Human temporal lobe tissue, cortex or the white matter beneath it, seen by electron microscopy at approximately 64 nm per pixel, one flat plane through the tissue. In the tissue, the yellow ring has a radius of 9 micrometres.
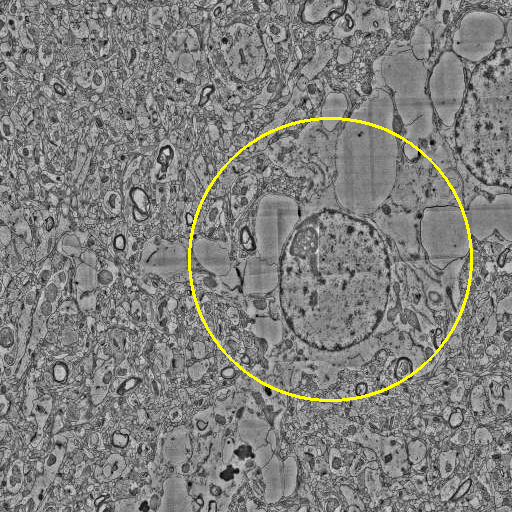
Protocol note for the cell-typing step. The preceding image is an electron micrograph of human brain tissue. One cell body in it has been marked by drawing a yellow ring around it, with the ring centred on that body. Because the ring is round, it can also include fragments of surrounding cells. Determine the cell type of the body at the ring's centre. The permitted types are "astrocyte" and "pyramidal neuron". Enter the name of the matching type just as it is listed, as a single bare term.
astrocyte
